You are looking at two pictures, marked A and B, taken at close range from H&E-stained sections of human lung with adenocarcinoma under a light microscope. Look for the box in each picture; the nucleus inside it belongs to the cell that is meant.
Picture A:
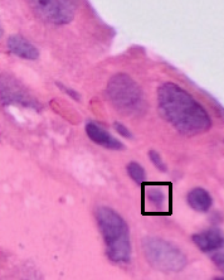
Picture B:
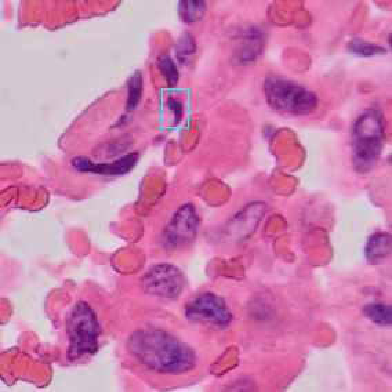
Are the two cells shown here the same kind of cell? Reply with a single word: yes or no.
no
